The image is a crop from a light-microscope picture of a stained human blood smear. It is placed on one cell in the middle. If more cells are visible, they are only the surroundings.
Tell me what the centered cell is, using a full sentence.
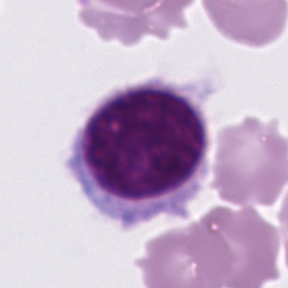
The cell shown in the center of this light-microscope crop is a hairy cell.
